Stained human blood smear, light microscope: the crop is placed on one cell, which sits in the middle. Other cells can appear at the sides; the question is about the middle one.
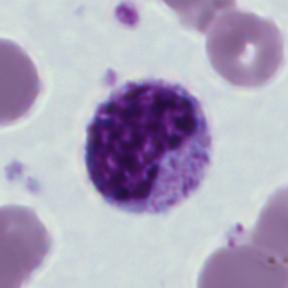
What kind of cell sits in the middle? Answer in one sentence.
The crop centres on a single cell, and that cell is a metamyelocyte.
